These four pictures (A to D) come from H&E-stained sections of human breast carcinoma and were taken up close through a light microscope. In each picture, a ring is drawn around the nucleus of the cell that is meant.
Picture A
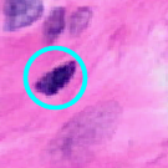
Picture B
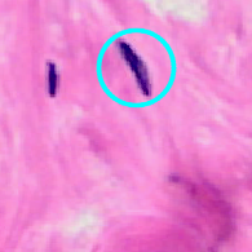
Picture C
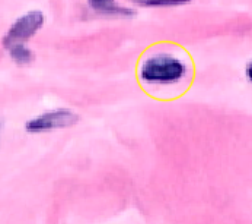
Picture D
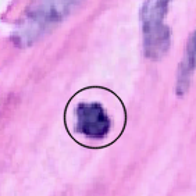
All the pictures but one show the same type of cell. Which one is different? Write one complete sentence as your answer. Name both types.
The others show lymphocytes, but picture B shows a fibroblast.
